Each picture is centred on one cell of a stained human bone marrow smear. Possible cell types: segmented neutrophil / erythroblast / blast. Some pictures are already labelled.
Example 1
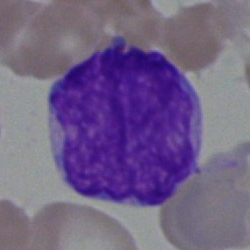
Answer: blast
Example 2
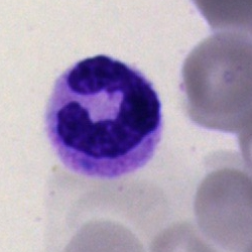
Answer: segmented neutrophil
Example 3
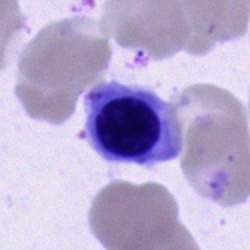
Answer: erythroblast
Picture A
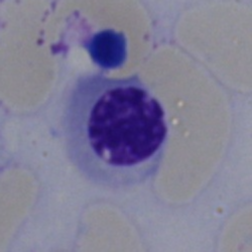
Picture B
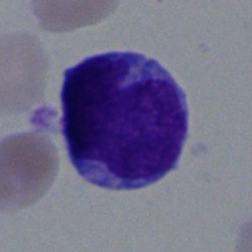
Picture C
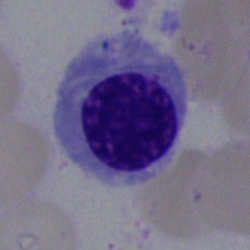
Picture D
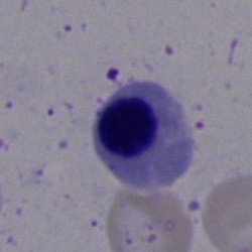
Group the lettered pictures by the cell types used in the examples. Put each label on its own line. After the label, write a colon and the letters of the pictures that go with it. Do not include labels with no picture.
erythroblast: A, C, D
blast: B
